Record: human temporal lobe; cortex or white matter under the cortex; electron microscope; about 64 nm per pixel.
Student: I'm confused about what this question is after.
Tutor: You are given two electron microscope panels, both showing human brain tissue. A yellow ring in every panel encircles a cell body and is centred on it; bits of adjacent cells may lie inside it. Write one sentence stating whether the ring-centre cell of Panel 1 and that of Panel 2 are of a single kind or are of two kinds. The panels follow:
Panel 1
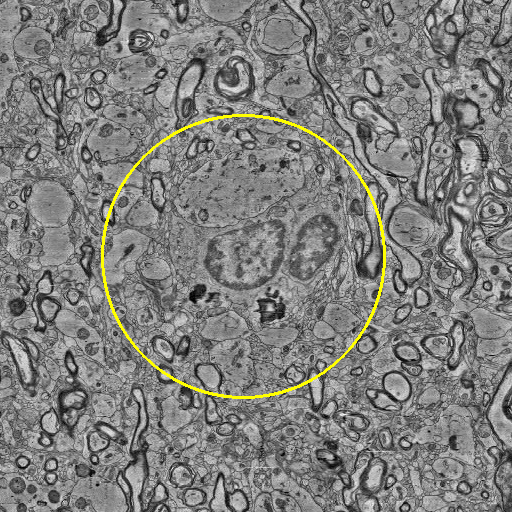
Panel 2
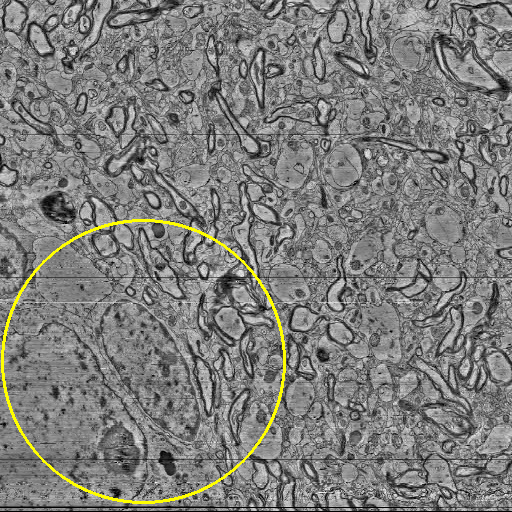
Here, the Panel 1 ring-centre cell and the Panel 2 ring-centre cell are of two kinds.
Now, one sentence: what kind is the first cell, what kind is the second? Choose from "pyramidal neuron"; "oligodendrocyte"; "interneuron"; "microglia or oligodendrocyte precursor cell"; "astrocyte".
The first picture has an oligodendrocyte at its ring centre, and the second has a microglial cell or oligodendrocyte precursor cell.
